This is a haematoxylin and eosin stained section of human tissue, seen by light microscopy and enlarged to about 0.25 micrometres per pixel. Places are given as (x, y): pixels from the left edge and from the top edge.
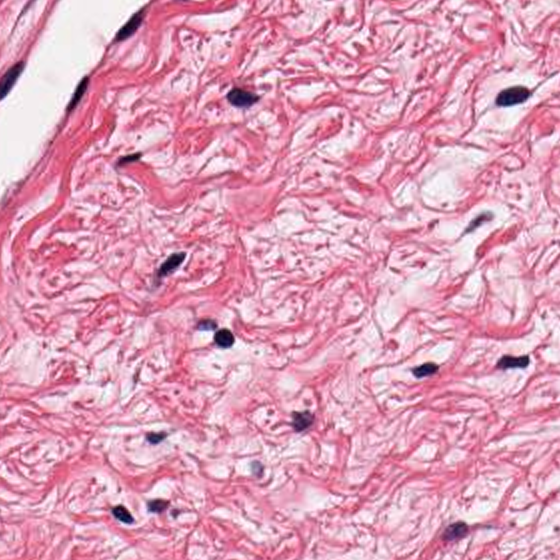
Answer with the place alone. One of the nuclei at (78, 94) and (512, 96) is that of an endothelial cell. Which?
(78, 94)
